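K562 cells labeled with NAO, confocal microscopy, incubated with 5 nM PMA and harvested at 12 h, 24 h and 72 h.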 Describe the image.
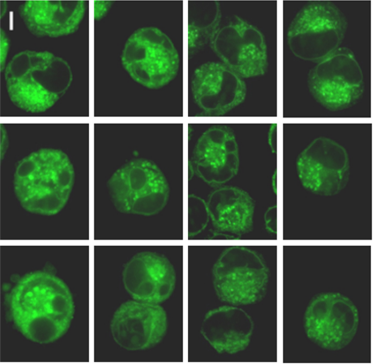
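This is a grid of small confocal images of rounded single cultured cells, each seen on a dark background with green fluorescence. Beside the cluster lies a large dark, rounded unstained area, consistent with the nucleus, which pushes the granular cytoplasm to one side. A thin, fainter green line outlines the edge of each cell.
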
